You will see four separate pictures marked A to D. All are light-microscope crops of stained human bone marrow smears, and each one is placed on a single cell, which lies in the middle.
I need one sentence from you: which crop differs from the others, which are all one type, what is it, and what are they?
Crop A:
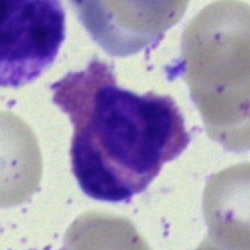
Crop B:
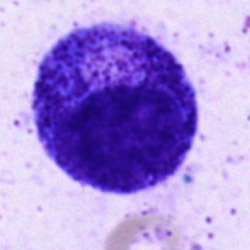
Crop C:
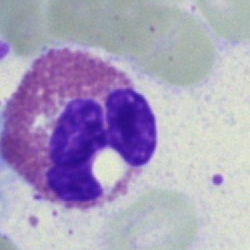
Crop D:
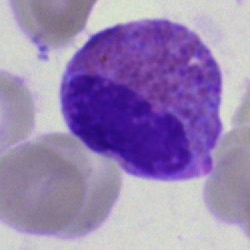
Crop B is different, showing a promyelocyte, whereas all the others show eosinophils.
